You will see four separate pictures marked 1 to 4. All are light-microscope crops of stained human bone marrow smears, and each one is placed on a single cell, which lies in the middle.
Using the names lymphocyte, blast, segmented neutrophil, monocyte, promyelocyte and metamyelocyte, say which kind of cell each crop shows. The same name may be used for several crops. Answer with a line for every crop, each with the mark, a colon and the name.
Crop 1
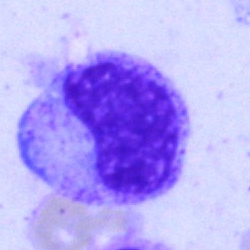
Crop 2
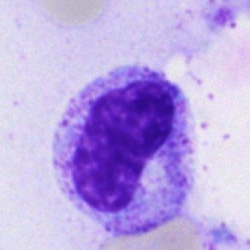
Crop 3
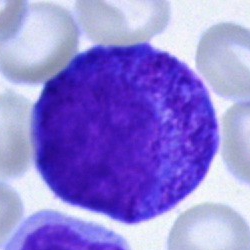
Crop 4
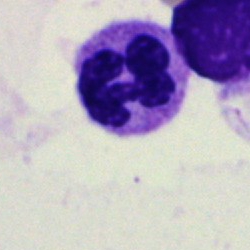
1: metamyelocyte
2: metamyelocyte
3: promyelocyte
4: segmented neutrophil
